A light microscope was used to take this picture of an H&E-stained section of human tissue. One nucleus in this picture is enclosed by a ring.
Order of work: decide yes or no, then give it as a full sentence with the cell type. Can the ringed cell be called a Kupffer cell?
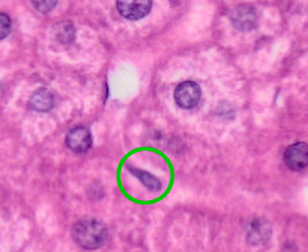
Yes, what the ringed cell represents in this tissue is a Kupffer cell.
